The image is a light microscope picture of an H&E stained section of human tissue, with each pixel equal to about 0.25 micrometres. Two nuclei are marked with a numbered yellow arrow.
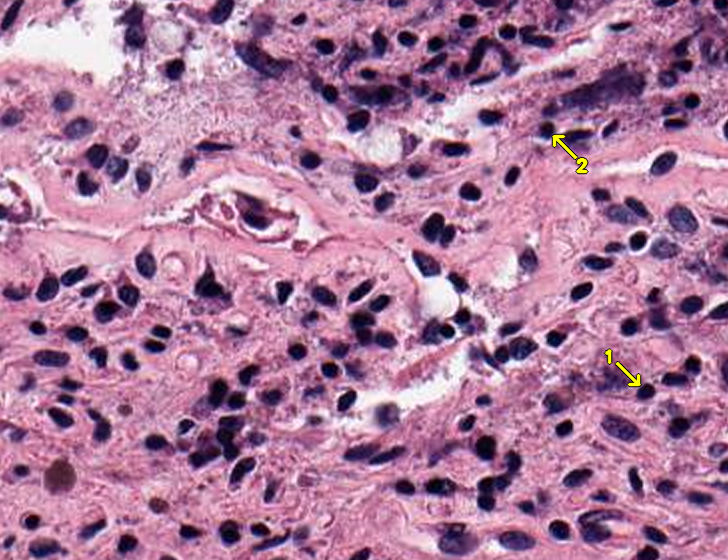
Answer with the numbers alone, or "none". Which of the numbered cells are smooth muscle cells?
none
